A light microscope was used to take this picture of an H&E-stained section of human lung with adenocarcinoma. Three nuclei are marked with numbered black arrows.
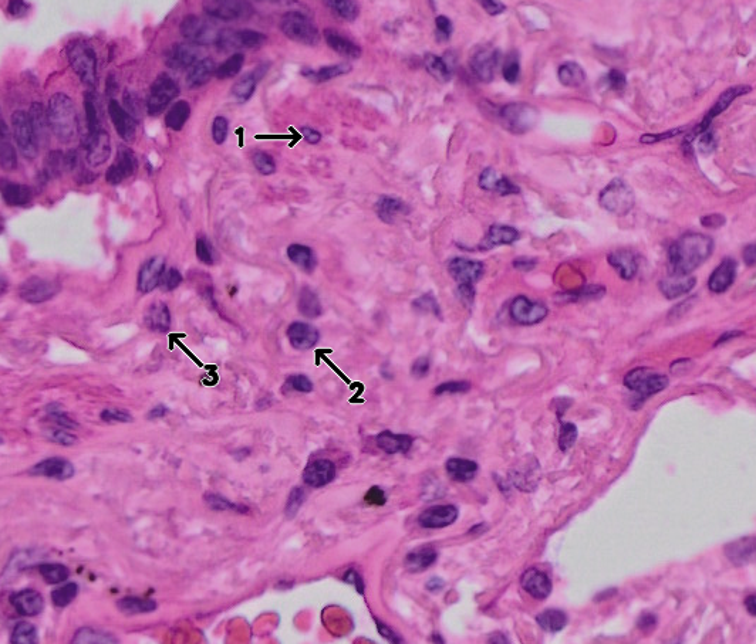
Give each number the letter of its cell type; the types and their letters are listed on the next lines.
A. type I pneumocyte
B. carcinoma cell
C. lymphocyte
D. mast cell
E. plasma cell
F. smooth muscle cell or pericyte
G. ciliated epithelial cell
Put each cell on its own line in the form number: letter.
1: F
2: C
3: D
